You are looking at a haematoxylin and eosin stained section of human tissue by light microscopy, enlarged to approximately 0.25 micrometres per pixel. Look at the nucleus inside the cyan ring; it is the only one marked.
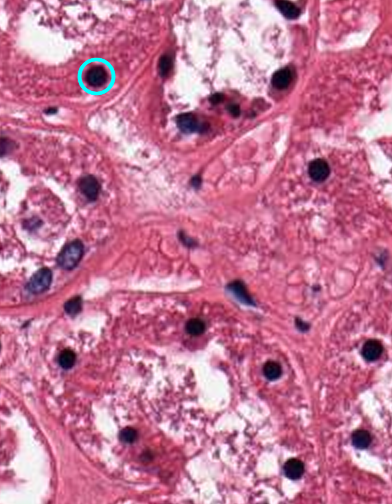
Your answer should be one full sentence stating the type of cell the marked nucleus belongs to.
The marked nucleus lies within a proximal tubule cell.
